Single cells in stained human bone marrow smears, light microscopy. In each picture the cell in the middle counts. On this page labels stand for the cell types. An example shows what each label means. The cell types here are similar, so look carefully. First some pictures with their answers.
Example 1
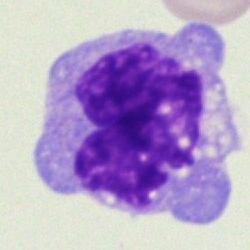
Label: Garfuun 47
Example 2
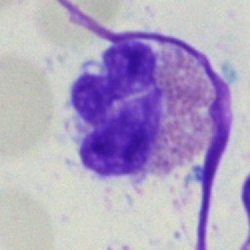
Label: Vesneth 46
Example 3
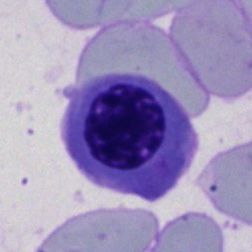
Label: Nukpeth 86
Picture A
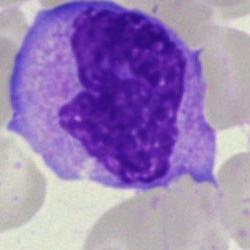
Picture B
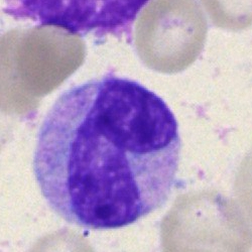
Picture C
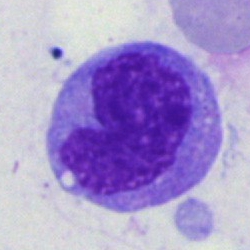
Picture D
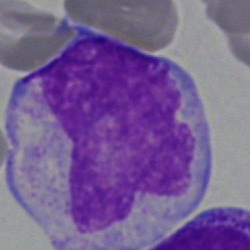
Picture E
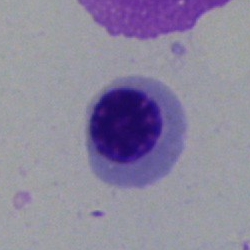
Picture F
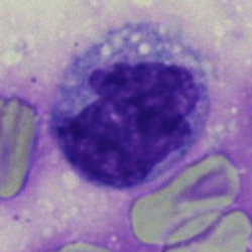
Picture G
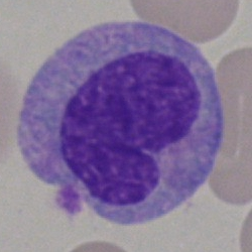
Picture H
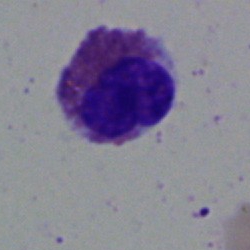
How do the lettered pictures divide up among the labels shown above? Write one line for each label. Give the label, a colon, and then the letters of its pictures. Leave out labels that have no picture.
Garfuun 47: A, B, C, D, F, G
Vesneth 46: H
Nukpeth 86: E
